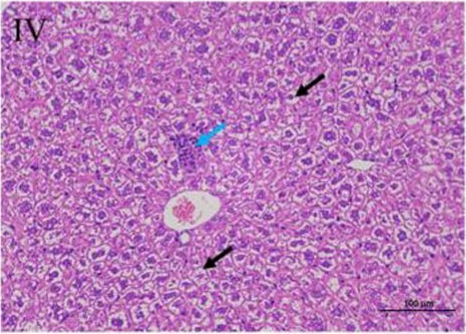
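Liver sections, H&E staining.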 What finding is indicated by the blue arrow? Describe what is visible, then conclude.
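A small focal cluster of densely packed dark nuclei sits near a vessel among the hepatocytes. The cells in the cluster are small and round with little cytoplasm. On this evidence: lymphocyte infiltration.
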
